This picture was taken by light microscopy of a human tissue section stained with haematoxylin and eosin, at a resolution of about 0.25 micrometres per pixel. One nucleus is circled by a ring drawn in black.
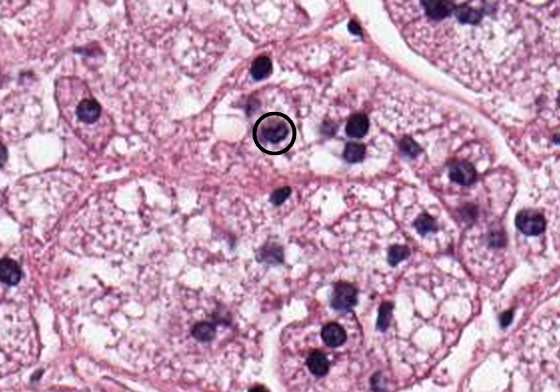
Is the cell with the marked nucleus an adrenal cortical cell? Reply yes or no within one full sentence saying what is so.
Yes, the marked nucleus is a nucleus of an adrenal cortical cell.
